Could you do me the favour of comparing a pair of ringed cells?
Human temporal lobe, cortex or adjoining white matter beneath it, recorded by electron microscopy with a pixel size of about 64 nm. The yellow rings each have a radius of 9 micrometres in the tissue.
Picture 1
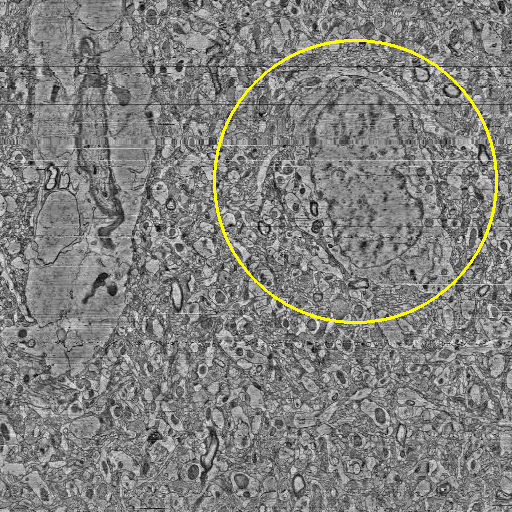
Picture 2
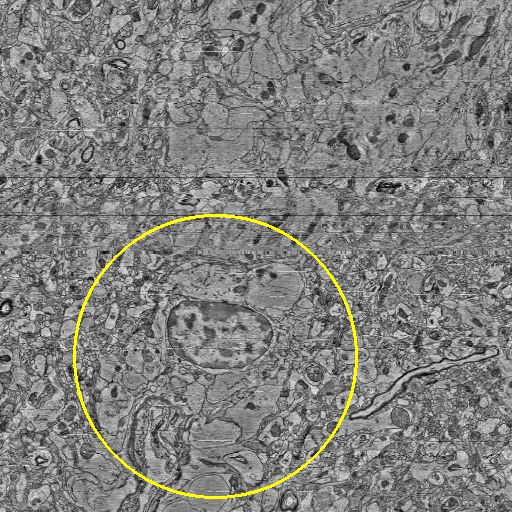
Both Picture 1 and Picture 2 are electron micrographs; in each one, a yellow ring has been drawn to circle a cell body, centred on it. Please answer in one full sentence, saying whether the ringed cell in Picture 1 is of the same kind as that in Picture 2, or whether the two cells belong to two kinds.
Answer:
The ringed cells in Picture 1 and Picture 2 belong to two kinds.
